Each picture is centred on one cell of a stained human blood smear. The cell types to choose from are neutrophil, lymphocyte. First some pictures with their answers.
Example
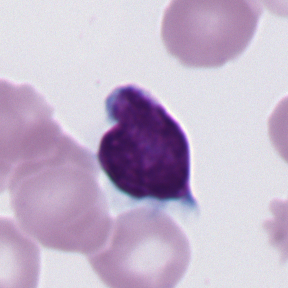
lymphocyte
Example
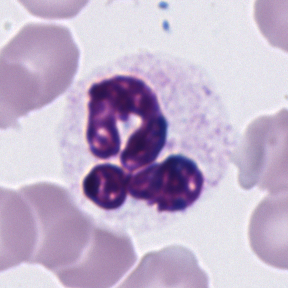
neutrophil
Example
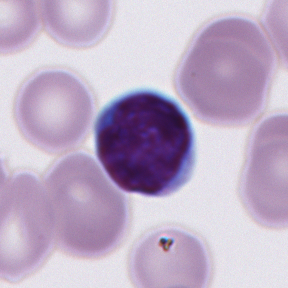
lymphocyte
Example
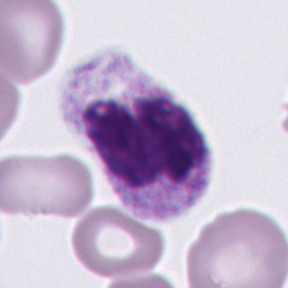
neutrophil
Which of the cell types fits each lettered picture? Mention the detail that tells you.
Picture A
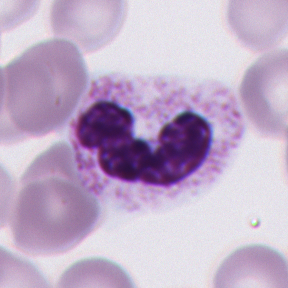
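neutrophil. The cytoplasm is plentiful and pale pink.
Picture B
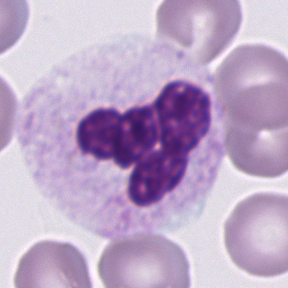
neutrophil. The cytoplasm is abundant and pale pinkish-lilac.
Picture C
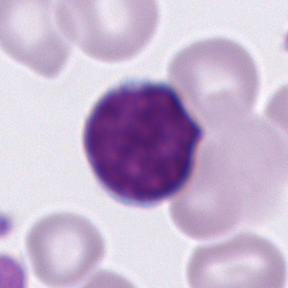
lymphocyte. The cytoplasm is only a very thin rim at the edge of the nucleus.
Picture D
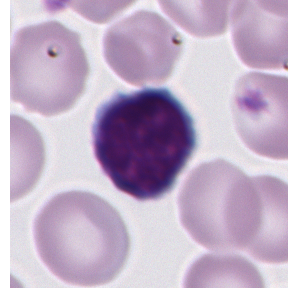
lymphocyte. Cytoplasm shows only as a very thin blue rim at the edge of the nucleus.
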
